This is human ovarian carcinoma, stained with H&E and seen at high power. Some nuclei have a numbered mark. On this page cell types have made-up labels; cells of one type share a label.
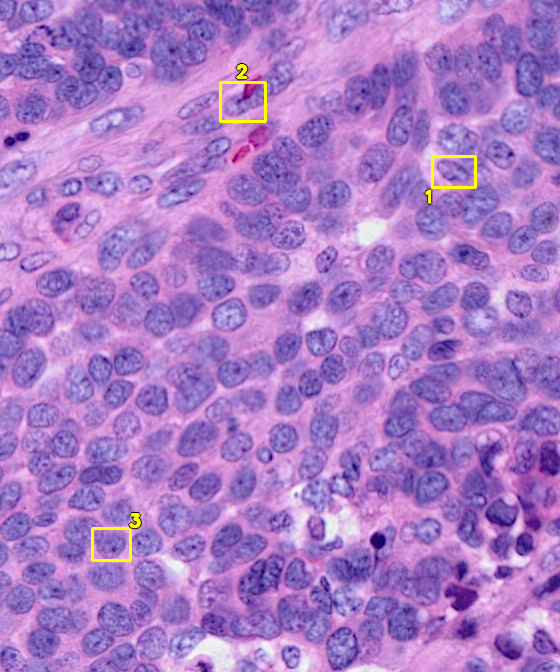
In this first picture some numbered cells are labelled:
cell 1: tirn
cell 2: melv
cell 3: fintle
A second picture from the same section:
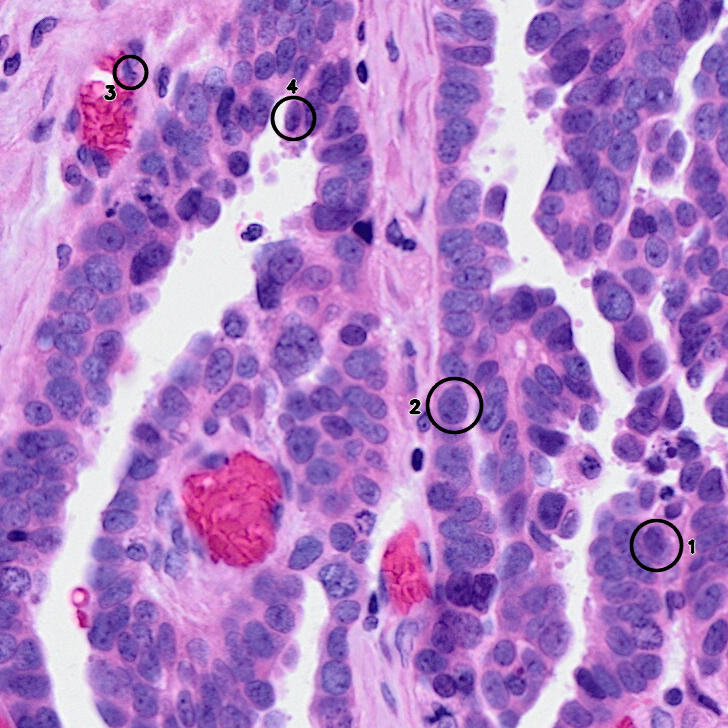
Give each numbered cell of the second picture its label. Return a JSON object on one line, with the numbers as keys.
{"1": "fintle", "2": "fintle", "3": "melv", "4": "fintle"}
